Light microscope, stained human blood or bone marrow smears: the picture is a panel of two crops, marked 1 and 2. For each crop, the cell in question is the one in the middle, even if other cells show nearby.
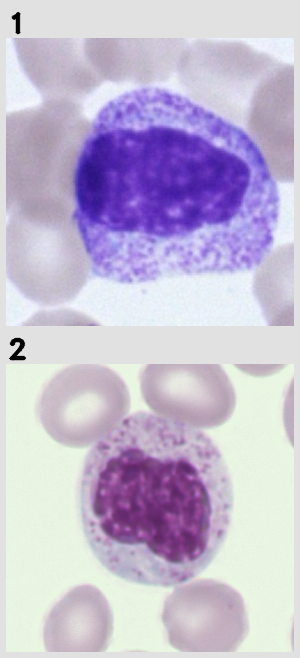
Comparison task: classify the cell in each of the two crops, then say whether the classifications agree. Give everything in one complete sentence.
No, crop 1 captures a myelocyte; meanwhile crop 2 captures a metamyelocyte.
